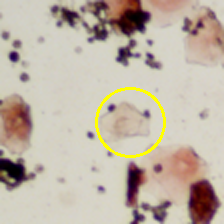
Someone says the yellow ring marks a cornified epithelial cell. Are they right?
They are right: it is a cornified epithelial cell.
